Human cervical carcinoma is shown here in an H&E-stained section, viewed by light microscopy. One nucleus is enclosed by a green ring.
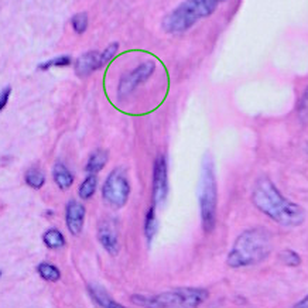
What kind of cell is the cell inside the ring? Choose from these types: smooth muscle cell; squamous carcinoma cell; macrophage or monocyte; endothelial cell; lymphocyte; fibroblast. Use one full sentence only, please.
Labelled by cell type, the cell inside the ring is a smooth muscle cell.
